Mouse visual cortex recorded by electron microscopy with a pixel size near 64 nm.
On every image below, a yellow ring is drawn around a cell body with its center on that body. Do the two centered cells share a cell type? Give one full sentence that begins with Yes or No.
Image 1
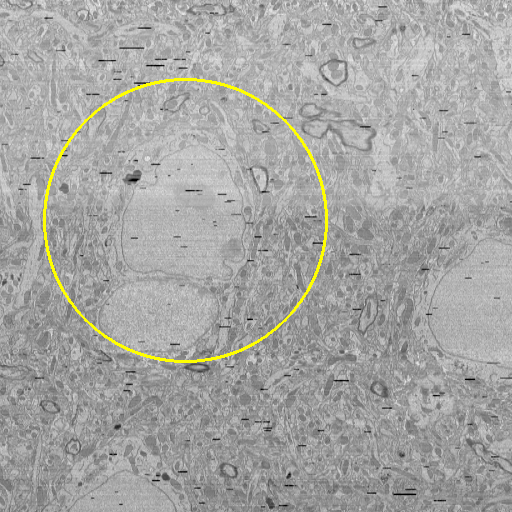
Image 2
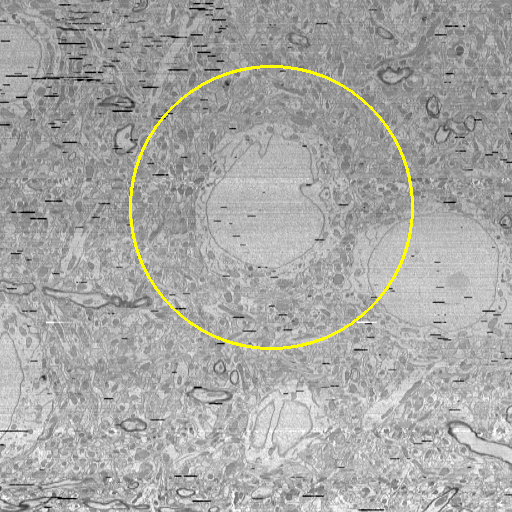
Yes, the centered cells in the two images are of a single cell type.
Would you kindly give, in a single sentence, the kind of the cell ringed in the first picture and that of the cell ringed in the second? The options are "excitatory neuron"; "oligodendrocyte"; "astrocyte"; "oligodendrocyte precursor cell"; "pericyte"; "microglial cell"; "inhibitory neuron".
The cell in the first picture is an excitatory neuron, and so is the one in the second.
